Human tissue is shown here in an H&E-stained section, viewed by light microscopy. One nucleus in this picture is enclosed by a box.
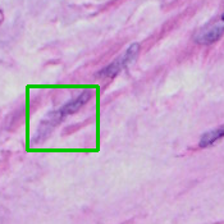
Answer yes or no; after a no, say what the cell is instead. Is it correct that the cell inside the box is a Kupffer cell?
No, it is a fibroblast.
